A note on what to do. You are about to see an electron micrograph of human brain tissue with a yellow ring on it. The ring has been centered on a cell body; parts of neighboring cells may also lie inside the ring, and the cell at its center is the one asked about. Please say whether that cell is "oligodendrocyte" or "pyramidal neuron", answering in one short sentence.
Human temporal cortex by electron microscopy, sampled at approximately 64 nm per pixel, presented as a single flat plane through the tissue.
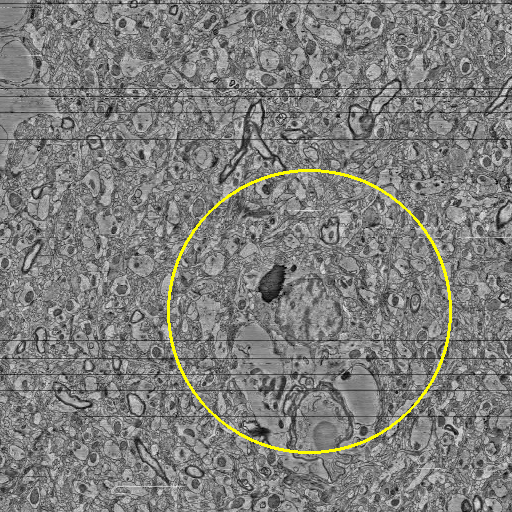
The yellow ring sits on an oligodendrocyte.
